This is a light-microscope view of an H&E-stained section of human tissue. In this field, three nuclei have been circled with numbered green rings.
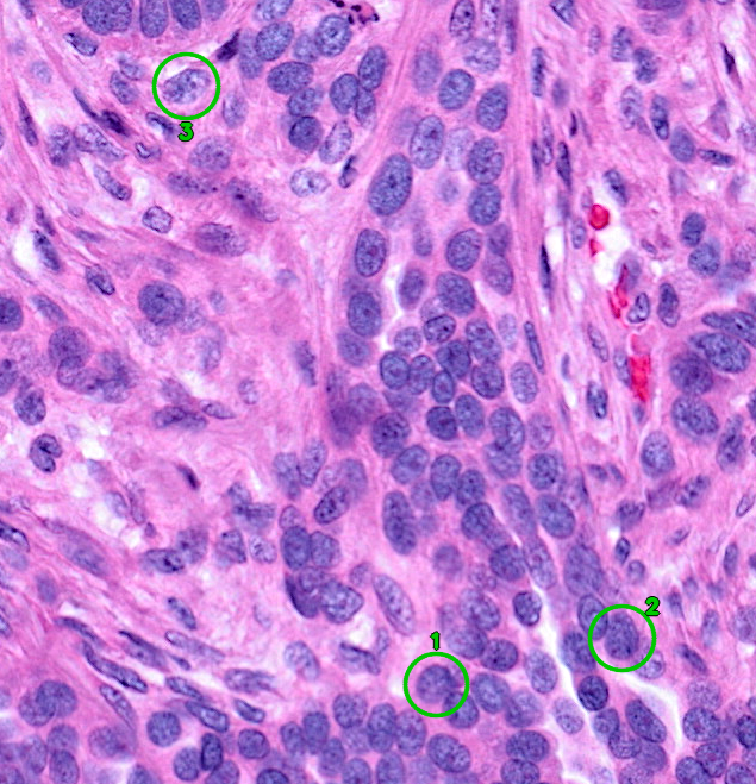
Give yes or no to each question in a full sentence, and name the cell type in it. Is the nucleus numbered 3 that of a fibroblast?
Yes, with respect to number 3, the cell is a fibroblast.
